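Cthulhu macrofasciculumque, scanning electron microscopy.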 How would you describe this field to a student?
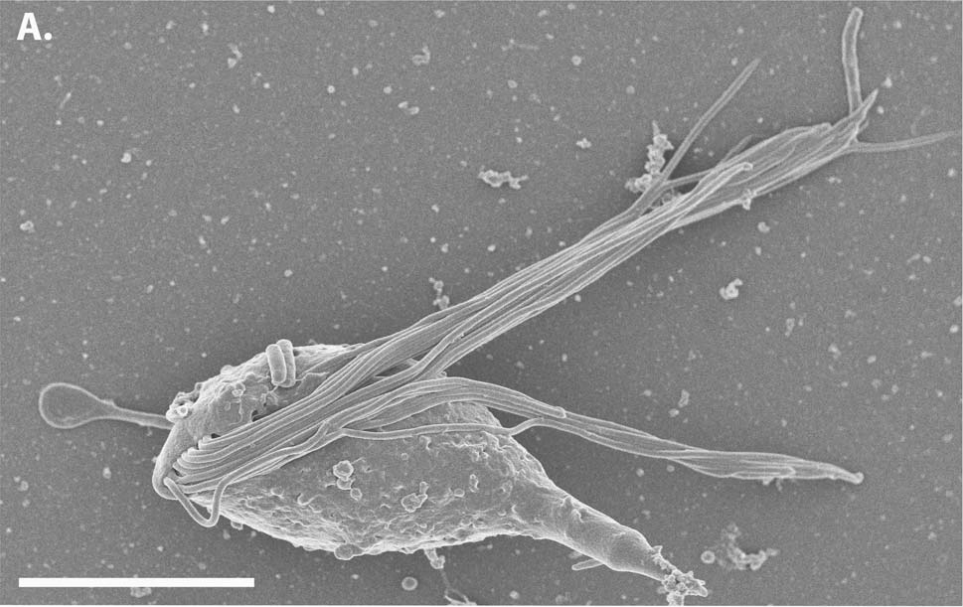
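A single pear-shaped flagellate lies on a flat surface, its body surface finely rough and knobbly. From one end a tapering pointed projection protrudes, the axostyle. Near the opposite end a large bundle of many long, smooth, parallel flagella emerges and runs past the body, the strands loosening and splaying at their tips. The bundle is so dense that the individual flagella are hard to count.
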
